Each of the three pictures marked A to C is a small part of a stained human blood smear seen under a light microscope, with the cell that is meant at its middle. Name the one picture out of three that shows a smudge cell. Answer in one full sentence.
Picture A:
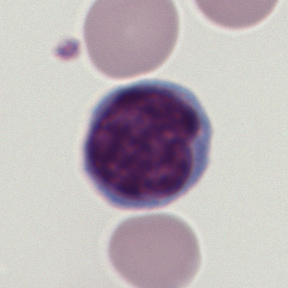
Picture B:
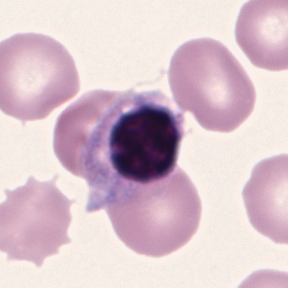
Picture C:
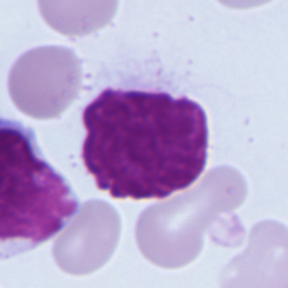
The picture with the smudge cell is C.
